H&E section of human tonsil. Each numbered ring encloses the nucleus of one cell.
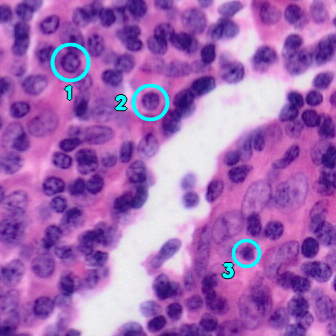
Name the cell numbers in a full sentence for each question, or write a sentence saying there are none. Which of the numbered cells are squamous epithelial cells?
It is not the case that any of the numbered cells are squamous epithelial cells.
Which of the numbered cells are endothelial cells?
The cells numbered 2 and 3 are identified as endothelial cells.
